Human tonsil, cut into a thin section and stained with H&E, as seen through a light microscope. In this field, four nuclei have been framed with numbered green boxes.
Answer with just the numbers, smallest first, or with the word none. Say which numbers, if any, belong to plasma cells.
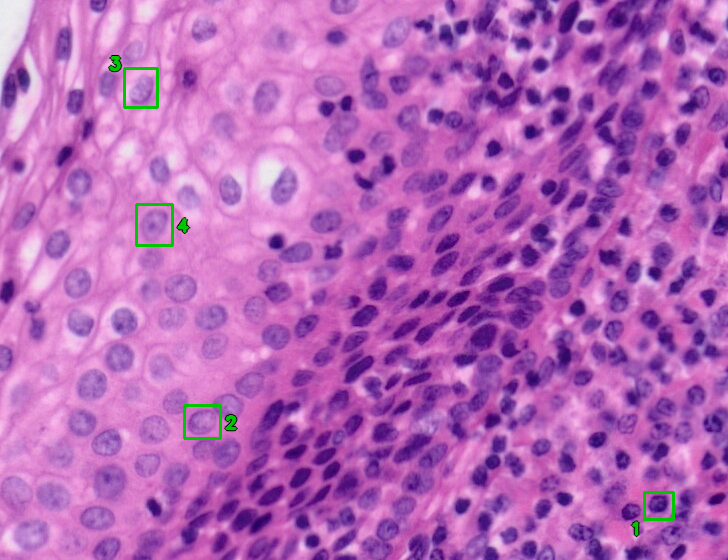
1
